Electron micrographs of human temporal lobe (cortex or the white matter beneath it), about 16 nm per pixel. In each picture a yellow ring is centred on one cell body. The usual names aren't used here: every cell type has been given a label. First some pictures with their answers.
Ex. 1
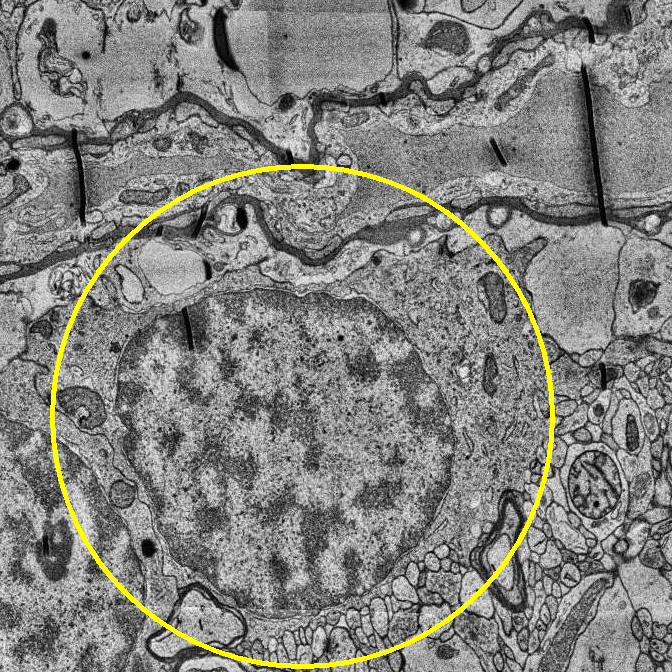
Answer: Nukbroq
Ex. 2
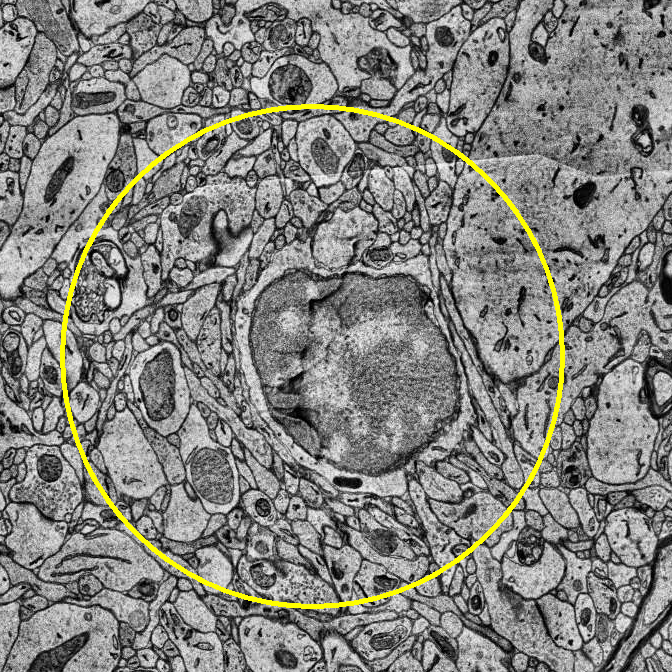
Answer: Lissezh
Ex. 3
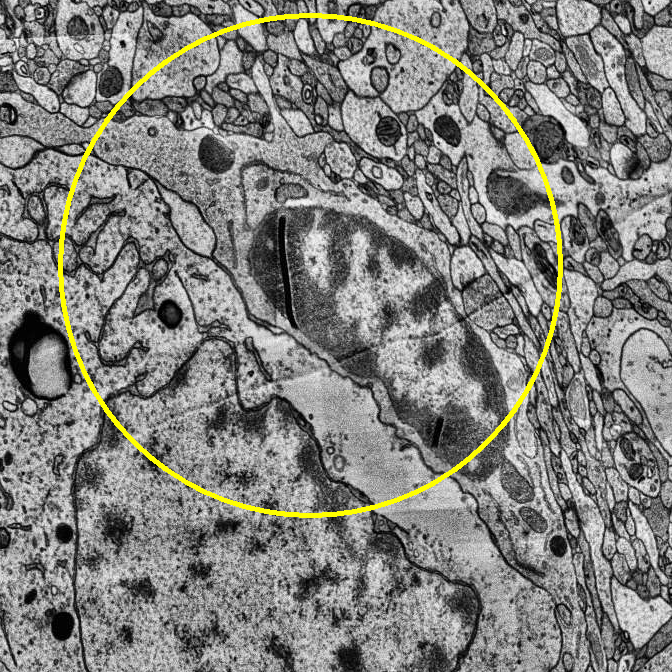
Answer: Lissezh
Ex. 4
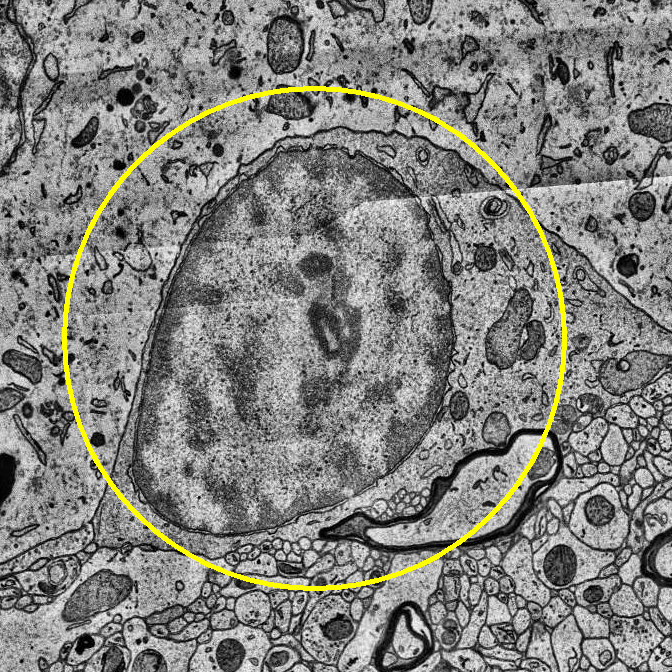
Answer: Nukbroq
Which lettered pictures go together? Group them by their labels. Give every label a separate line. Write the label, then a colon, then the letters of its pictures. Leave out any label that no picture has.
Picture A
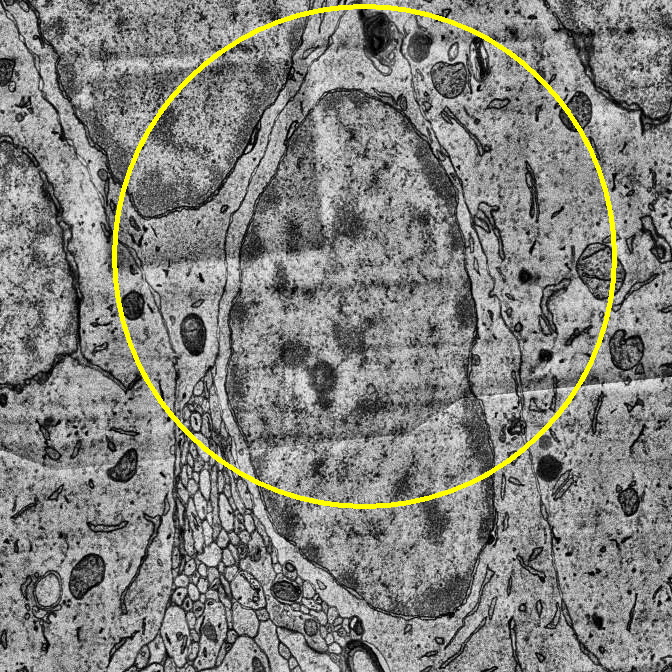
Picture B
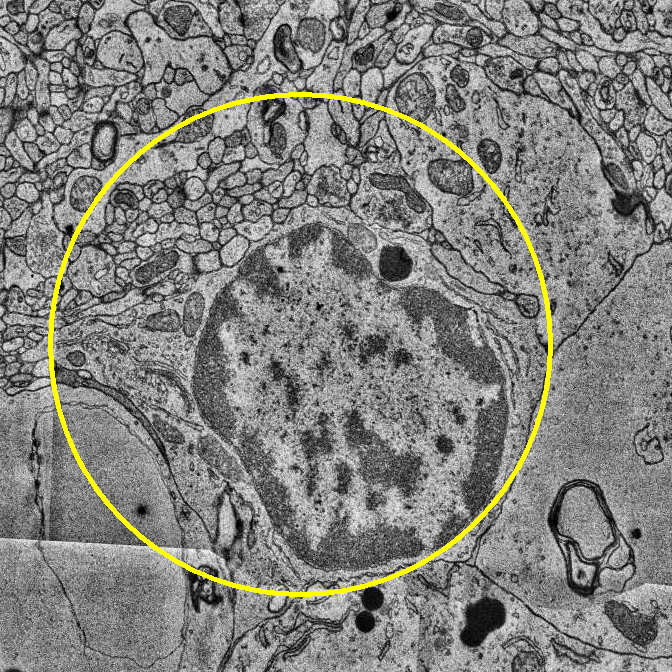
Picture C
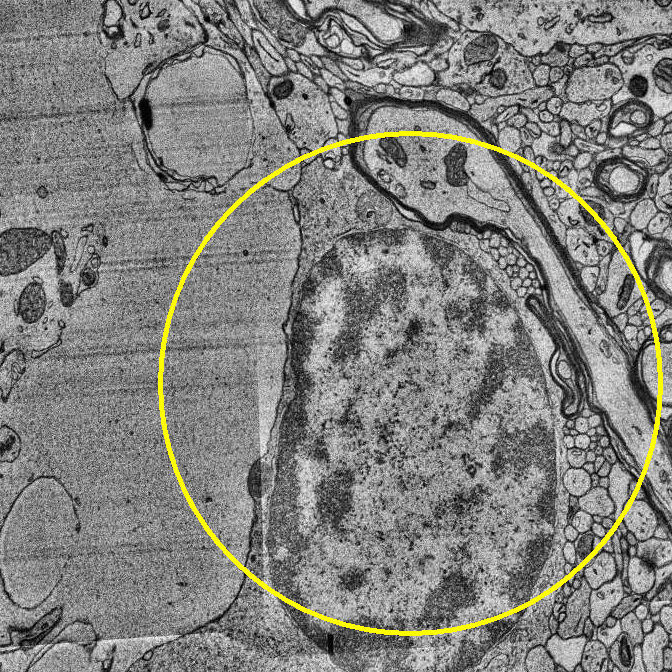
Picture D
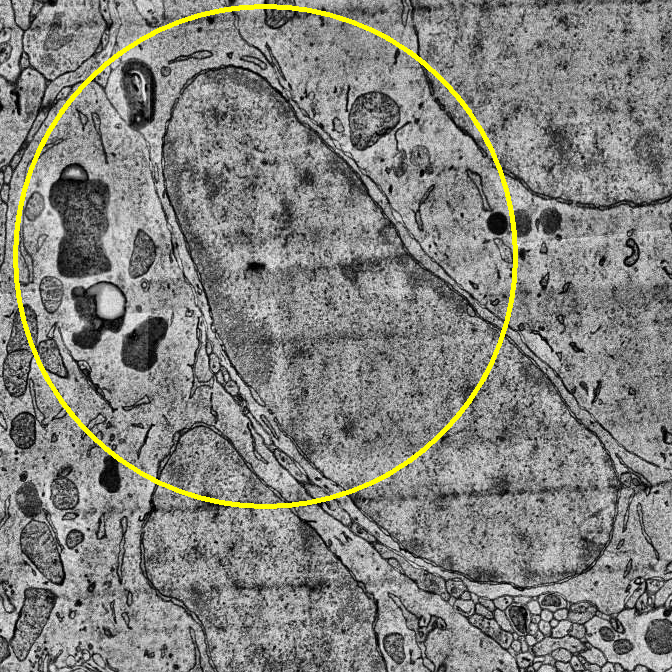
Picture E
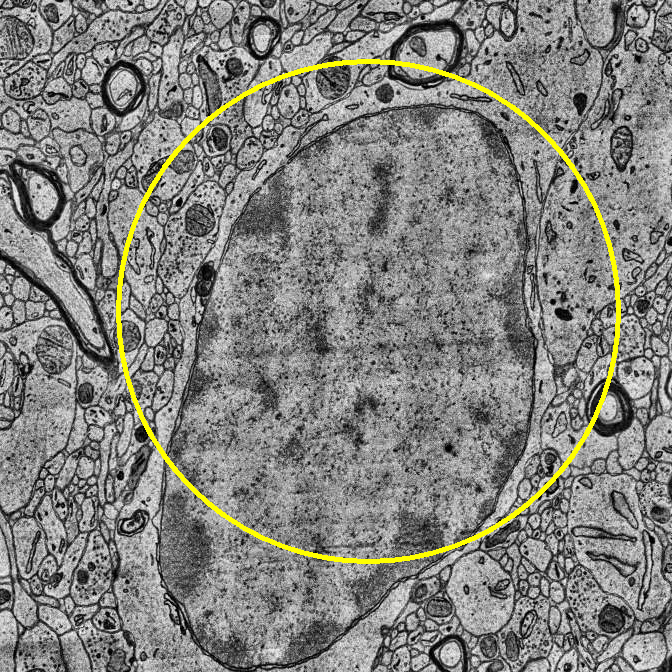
Nukbroq: C
Lissezh: A, B, D, E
